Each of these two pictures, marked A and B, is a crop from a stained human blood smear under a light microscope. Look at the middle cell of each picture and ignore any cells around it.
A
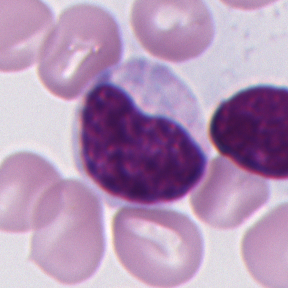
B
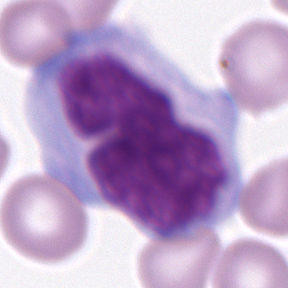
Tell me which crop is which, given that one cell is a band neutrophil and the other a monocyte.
A: band neutrophil
B: monocyte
